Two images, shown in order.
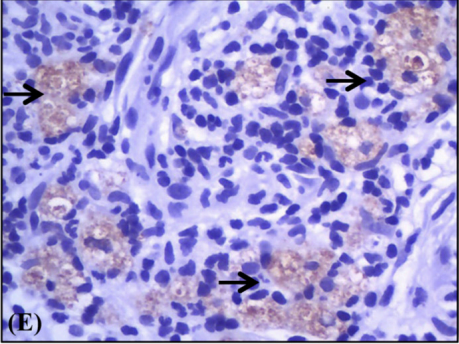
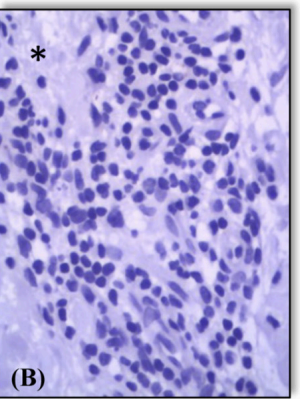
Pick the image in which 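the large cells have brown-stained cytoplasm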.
The first image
